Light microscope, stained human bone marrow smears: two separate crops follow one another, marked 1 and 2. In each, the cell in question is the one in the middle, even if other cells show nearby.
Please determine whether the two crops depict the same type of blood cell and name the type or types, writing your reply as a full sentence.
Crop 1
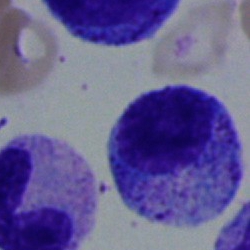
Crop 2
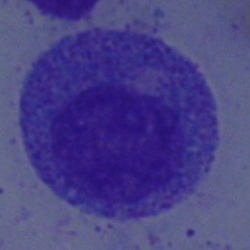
Yes, both crops show myelocytes at their middles.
